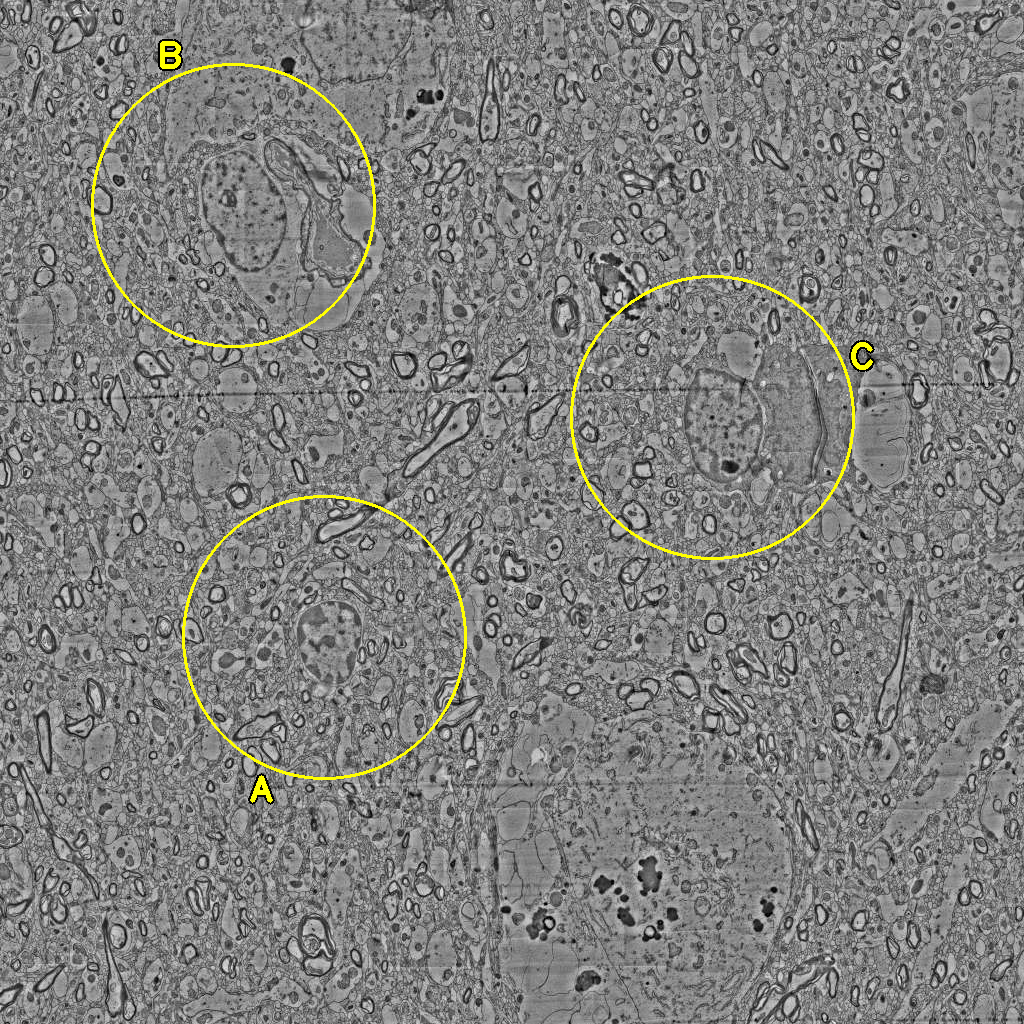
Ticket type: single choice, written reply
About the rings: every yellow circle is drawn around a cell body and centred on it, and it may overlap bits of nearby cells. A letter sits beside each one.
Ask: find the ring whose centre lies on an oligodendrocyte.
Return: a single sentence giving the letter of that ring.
At the centre of the ring marked C lies the cell asked for.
